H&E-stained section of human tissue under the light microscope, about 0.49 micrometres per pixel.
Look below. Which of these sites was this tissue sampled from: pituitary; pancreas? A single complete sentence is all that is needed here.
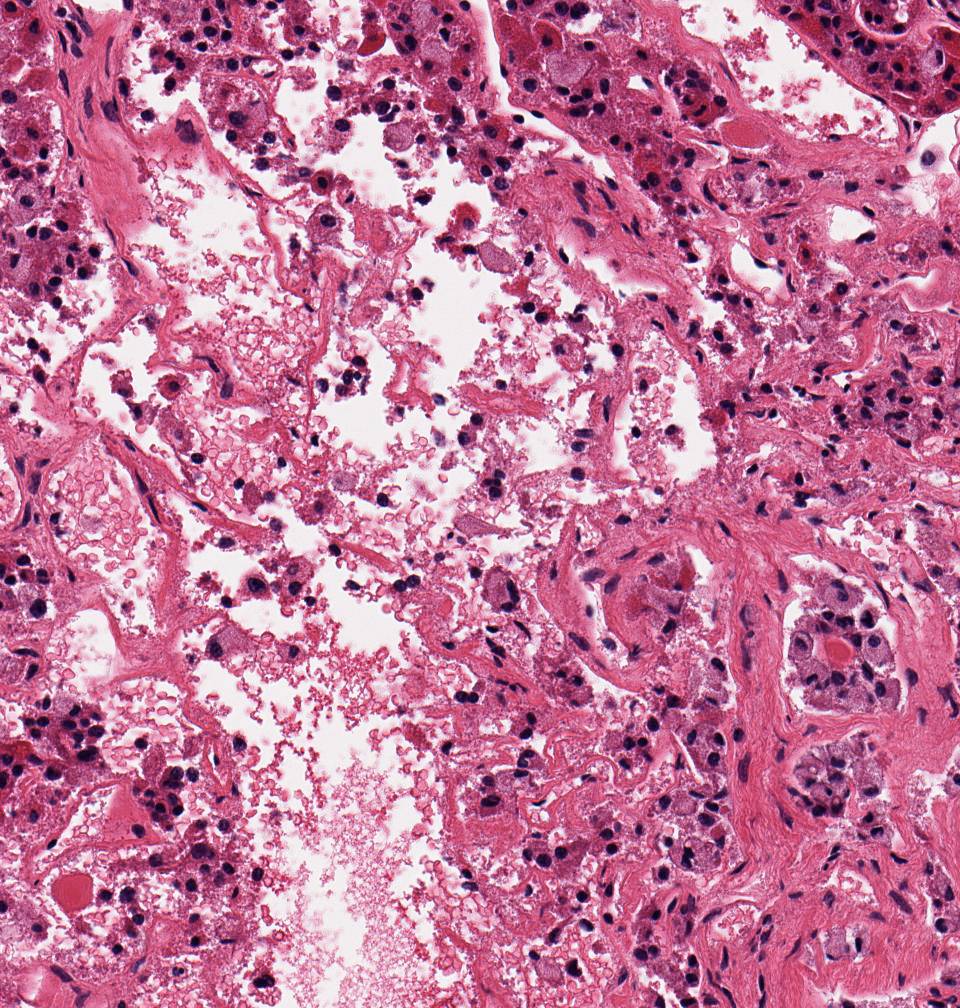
What this section contains is tissue from the pituitary.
